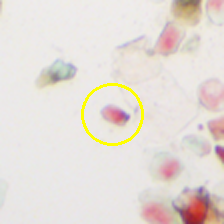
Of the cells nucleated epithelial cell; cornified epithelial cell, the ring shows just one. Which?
The ring shows a nucleated epithelial cell.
